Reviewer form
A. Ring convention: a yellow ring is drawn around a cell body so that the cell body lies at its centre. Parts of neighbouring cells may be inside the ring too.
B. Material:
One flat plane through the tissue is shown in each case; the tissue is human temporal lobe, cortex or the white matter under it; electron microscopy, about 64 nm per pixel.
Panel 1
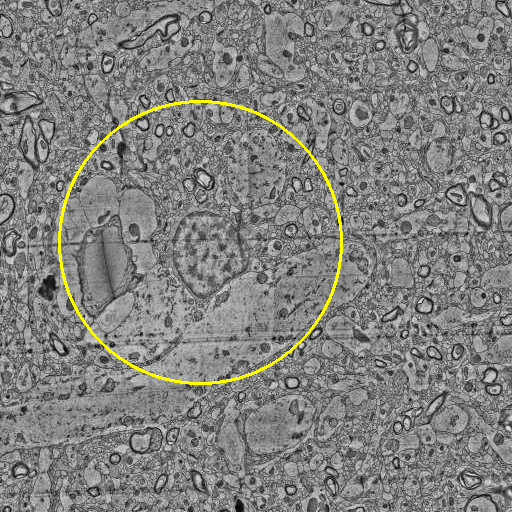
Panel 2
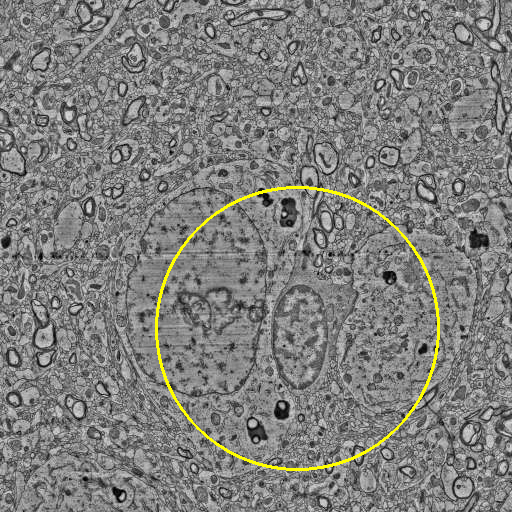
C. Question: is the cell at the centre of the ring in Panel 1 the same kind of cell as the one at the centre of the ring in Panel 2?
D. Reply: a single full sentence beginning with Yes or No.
Yes, the cells in Panel 1 and Panel 2 are the same kind of cell.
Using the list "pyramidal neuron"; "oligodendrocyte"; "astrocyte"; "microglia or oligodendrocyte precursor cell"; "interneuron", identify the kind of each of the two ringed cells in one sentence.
Each one of the two ringed cells is an oligodendrocyte.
